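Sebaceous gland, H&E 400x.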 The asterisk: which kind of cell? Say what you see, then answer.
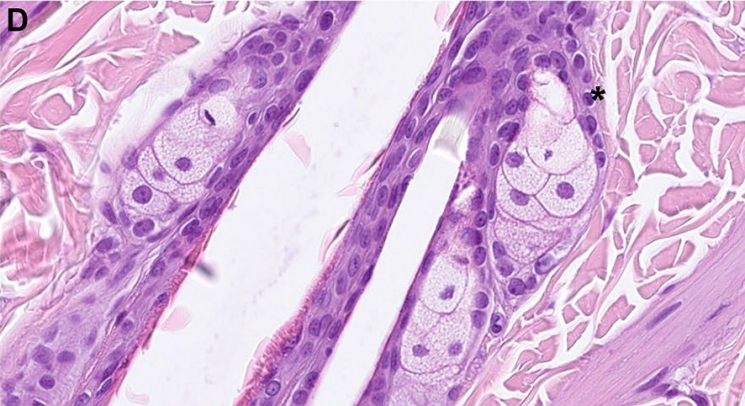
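Small cell with dark nucleus and scant cytoplasm at the outer edge of the gland lobule. It lies at the periphery, outside the large pale vacuolated cells.
Conclusion: reserve cell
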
